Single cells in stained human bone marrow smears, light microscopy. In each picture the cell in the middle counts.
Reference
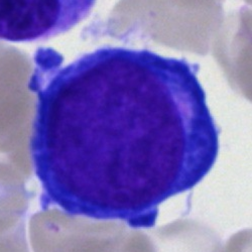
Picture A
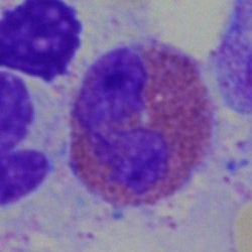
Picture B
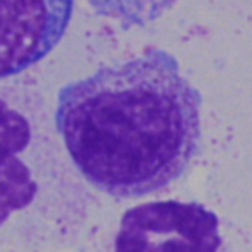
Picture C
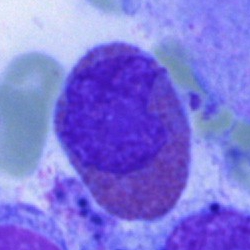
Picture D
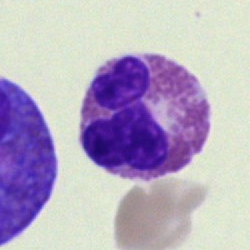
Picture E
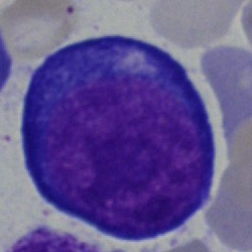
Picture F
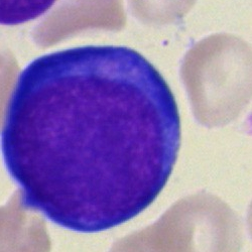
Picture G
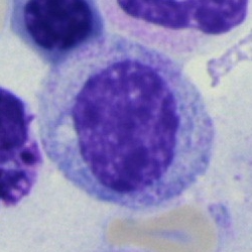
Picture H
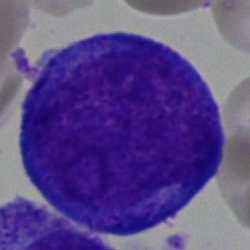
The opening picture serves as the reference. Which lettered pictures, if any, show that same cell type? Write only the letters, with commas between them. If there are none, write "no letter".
E, F, H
